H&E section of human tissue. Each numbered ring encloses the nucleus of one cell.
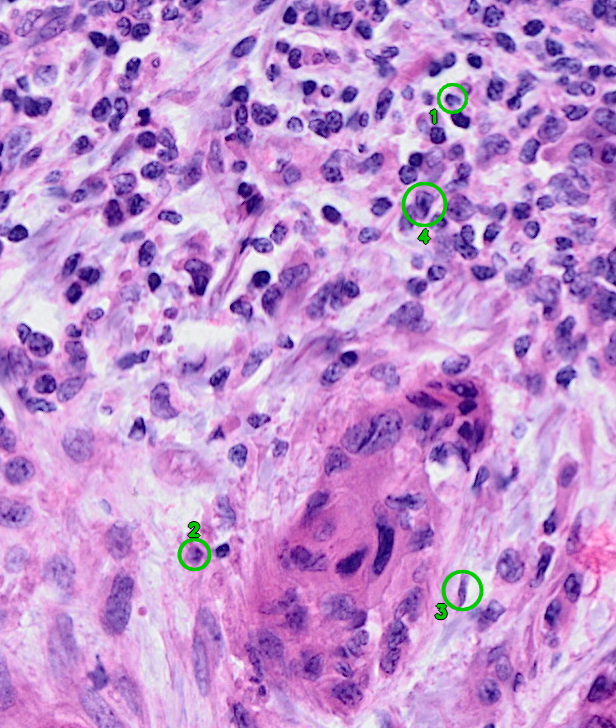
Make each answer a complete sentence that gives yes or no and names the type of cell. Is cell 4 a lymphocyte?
Yes, the cell identified by number 4 is a lymphocyte.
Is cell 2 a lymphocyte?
No, the cell given number 2 is a macrophage or monocyte, as opposed to a lymphocyte.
